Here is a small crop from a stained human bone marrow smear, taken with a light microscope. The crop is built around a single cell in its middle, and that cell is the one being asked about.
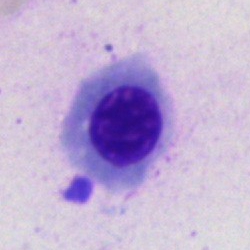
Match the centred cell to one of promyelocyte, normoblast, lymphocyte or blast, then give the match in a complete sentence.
By classification, the middle cell of this crop is a normoblast.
